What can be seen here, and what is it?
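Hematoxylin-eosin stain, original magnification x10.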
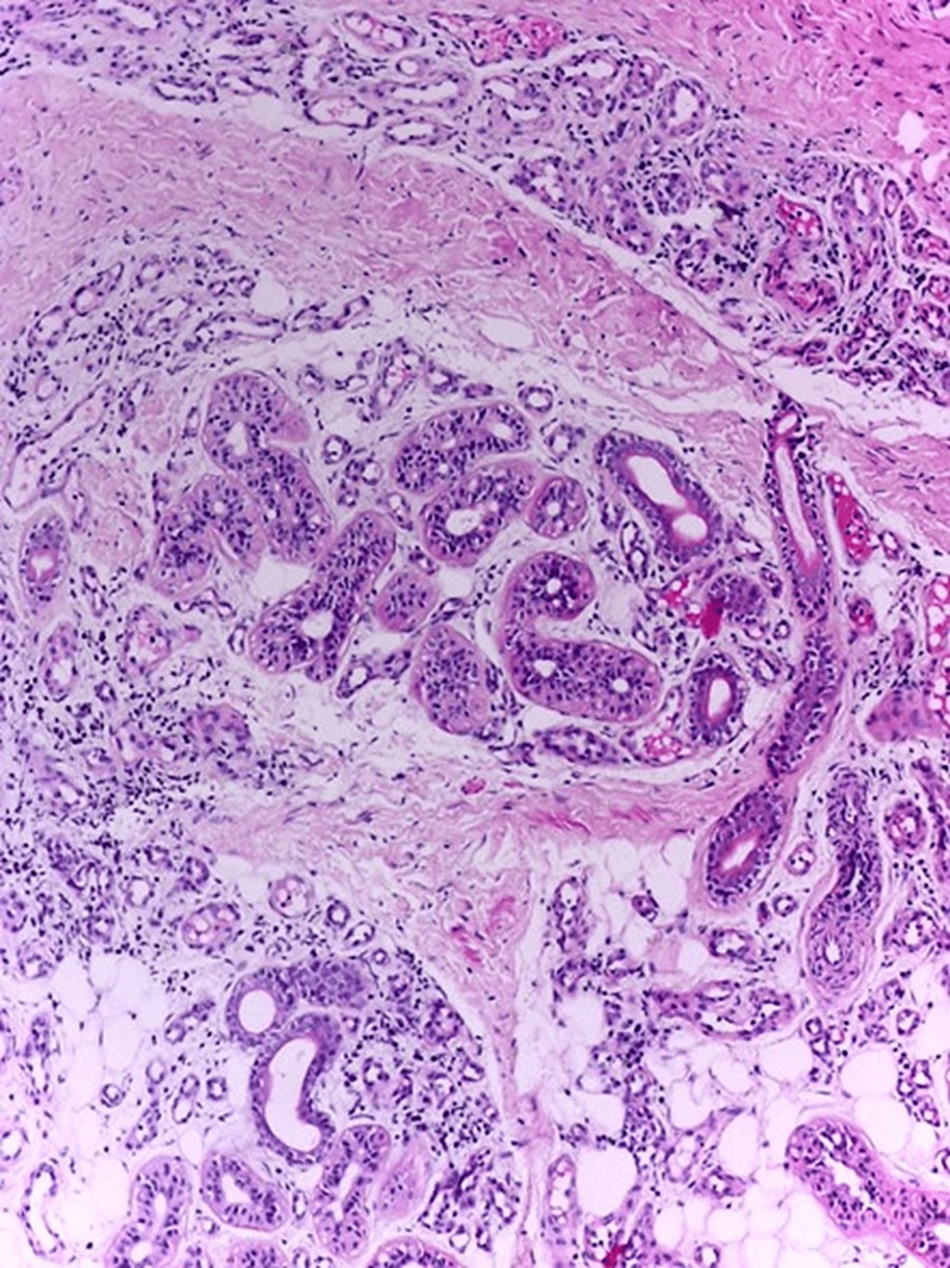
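This section shows lobules of eccrine glands, crowded coiled tubules with intermixed small blood vessels and mature fat cells. The secretory coils are lined by cuboidal cells with round, dark purple nuclei and pink cytoplasm around small lumens, while the larger ductal profiles have a two-layered lining around wider, open lumens. Between the tubules lie thin-walled small vessels, several of them filled with bright red erythrocytes, most obvious at the right side. Clusters of large, clear, empty-looking adipocytes with thin membranes lie at the bottom among the glands. Bands of pale pink collagenous stroma run across the upper part and surround the central group of glands.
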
